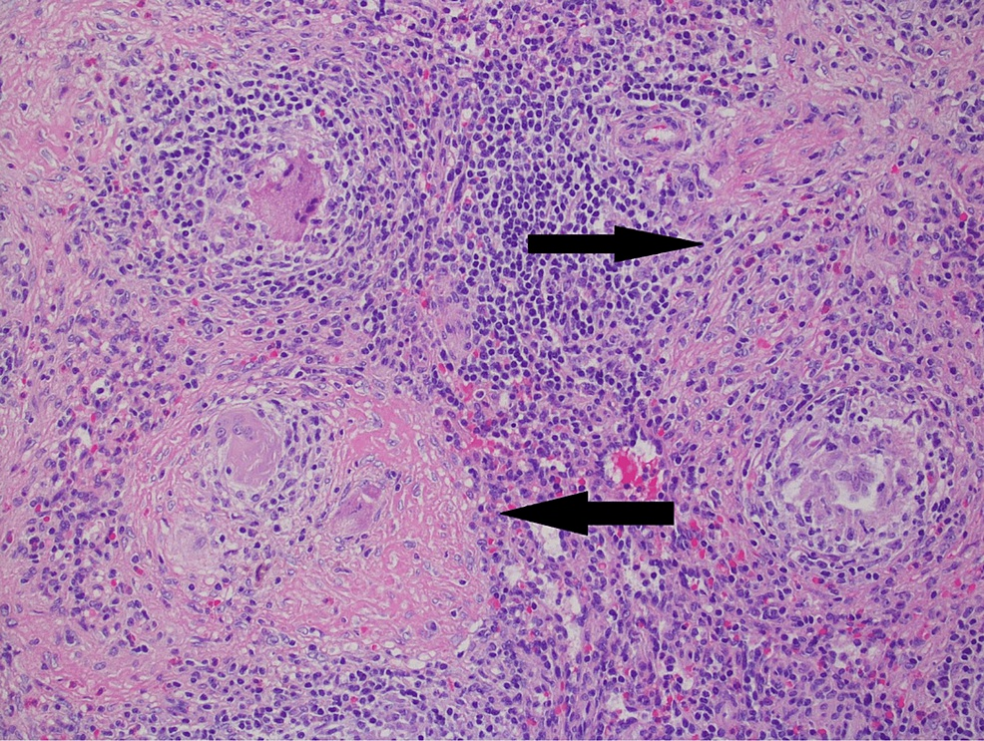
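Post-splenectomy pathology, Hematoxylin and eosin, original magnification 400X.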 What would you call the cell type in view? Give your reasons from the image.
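Large cells with abundant pink cytoplasm lie at the centres of the nodules. Some of these large cells hold several nuclei. On this evidence: multinucleated cells.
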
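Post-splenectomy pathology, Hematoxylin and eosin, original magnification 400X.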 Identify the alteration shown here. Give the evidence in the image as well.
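The centres of the nodules hold intact cells, not structureless debris. No area of necrosis is seen within the nodules.
Hence: non-necrotizing granuloma.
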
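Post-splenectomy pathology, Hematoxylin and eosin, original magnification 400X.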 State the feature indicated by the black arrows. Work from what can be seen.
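Several rounded nodules of pale pink cells stand apart from the surrounding dark lymphoid cells. The nodules are ringed by lymphocytes and spindle cells.
Granulomas.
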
